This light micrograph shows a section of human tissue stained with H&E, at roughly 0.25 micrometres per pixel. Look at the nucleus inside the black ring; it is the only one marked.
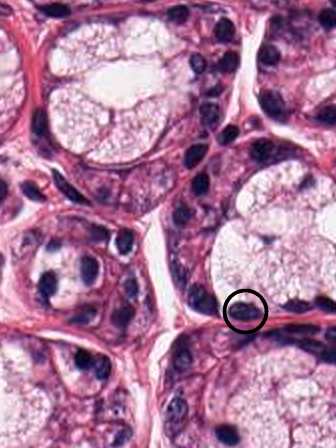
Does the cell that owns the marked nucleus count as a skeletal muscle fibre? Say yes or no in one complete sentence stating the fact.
No, the marked nucleus is contained in a mucous gland cell, not in a skeletal muscle fibre.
